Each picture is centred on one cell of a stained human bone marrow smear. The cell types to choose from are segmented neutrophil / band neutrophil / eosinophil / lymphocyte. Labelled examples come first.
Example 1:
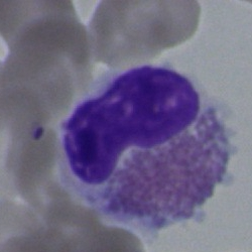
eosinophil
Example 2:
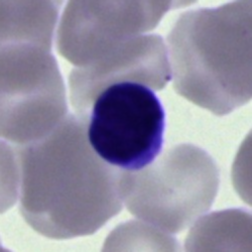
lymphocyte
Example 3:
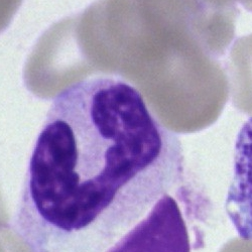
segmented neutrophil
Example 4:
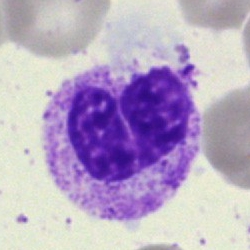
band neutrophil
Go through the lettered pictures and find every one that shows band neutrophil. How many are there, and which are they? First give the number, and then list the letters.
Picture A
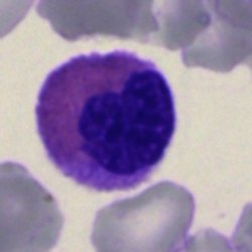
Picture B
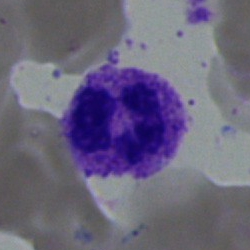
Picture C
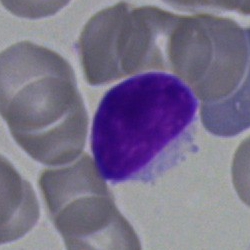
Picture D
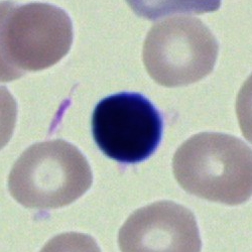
0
